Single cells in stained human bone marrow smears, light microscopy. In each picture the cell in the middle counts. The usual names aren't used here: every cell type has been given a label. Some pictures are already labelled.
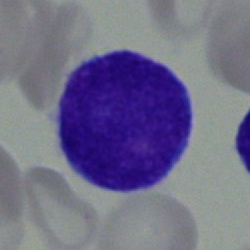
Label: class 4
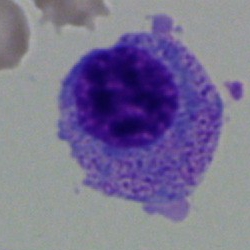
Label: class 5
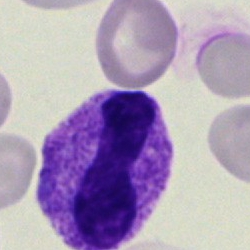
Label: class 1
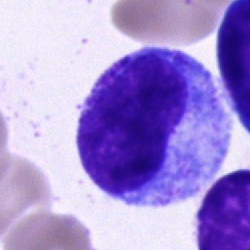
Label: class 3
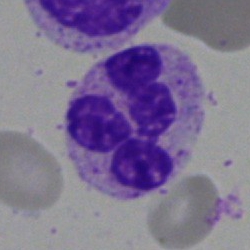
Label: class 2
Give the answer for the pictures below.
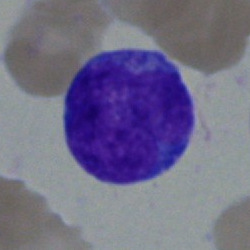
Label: class 4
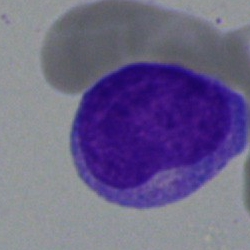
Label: class 4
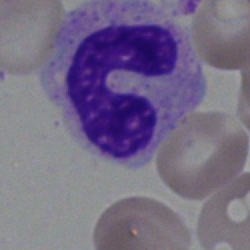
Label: class 1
